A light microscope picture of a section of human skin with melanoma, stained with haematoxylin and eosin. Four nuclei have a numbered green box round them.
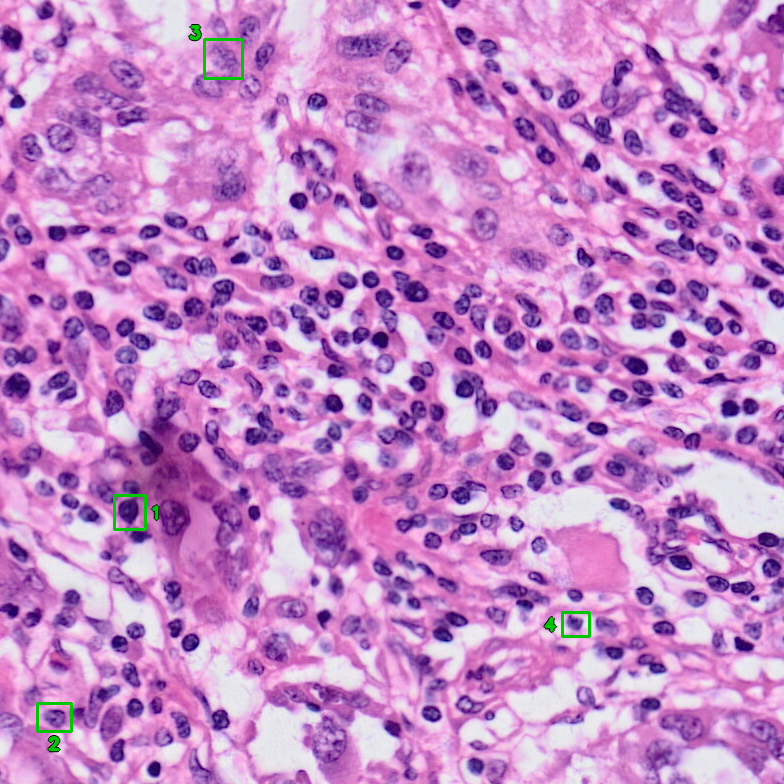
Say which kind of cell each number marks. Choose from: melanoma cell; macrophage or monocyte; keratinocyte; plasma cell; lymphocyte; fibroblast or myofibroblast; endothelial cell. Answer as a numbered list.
1. lymphocyte
2. lymphocyte
3. melanoma cell
4. lymphocyte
